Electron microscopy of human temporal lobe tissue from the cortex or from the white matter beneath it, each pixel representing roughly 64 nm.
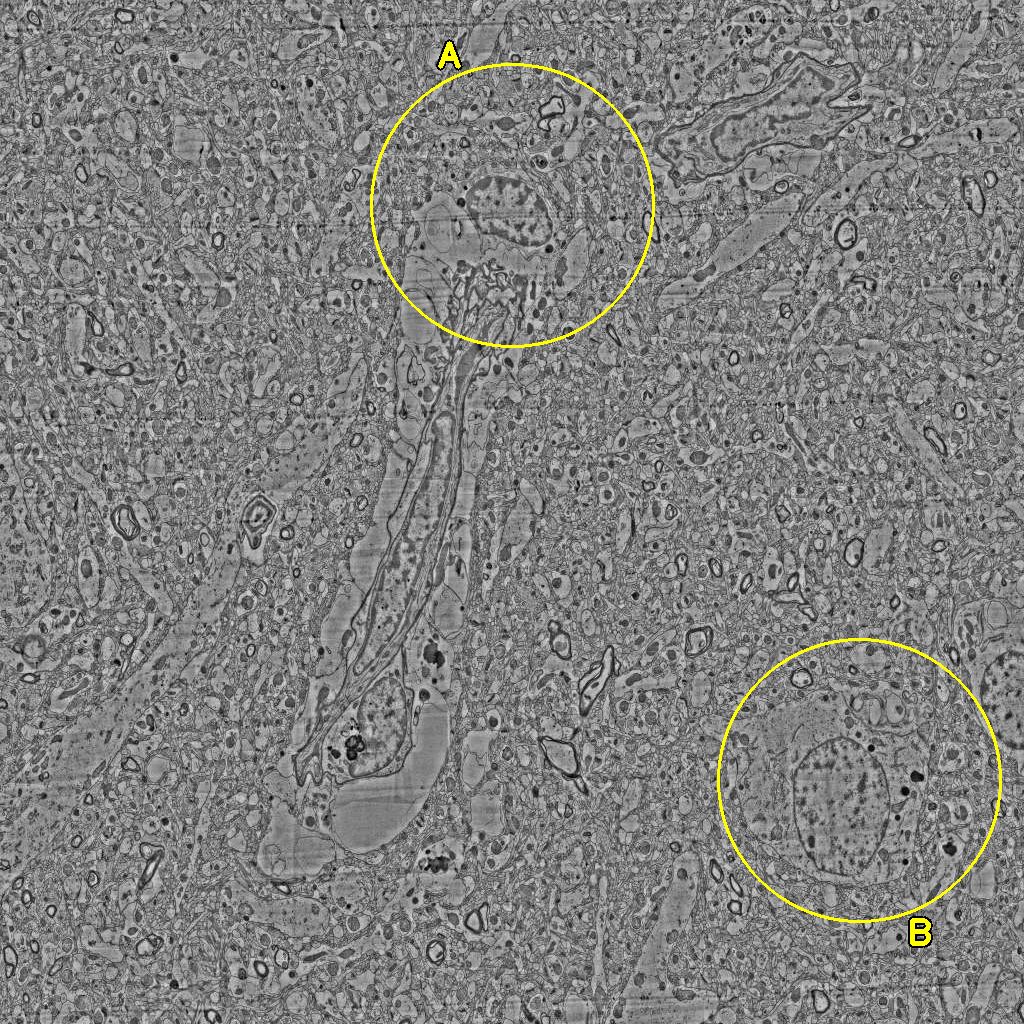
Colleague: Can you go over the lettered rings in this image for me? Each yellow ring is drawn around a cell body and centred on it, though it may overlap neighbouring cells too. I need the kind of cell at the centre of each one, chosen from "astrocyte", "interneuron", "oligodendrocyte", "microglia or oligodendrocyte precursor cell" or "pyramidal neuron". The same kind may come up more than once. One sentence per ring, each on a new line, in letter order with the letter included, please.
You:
Ring A marks the cell body of a microglial cell or oligodendrocyte precursor cell.
Ring B marks the cell body of a pyramidal neuron.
